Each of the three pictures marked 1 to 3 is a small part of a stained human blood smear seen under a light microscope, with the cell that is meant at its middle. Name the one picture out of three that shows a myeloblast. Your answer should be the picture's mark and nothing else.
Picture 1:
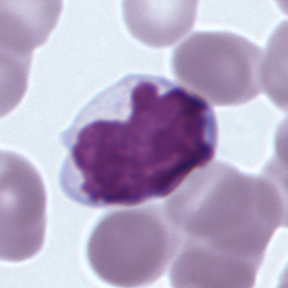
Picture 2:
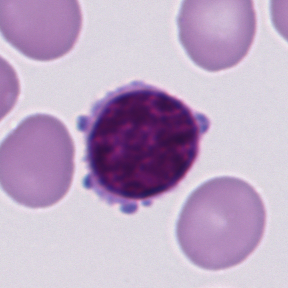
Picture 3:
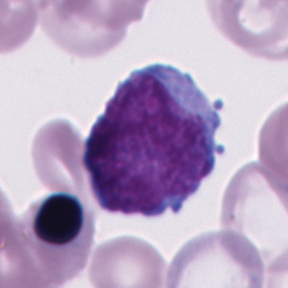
3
